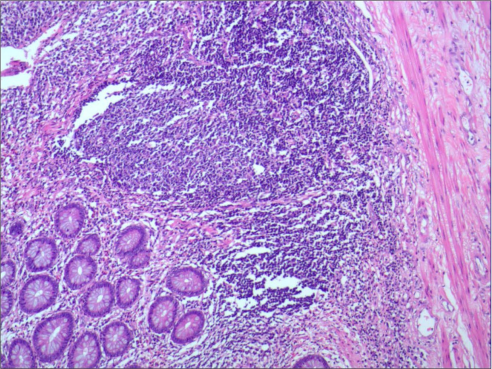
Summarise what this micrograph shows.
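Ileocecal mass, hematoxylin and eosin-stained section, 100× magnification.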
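This is intestinal-type wall with crypts of intestinal epithelium in the lower left and a muscular layer at the right. The crypts are cut across as small round glands, each lined by columnar cells with dark basal nuclei and pale goblet cells surrounding a central lumen. Above and beside them lies a large, dense sheet of small round cells with dark purple nuclei and scant cytoplasm, forming a rounded nodular cluster. Along the right edge, pink spindle-shaped cells with elongated nuclei form a band of smooth muscle.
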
